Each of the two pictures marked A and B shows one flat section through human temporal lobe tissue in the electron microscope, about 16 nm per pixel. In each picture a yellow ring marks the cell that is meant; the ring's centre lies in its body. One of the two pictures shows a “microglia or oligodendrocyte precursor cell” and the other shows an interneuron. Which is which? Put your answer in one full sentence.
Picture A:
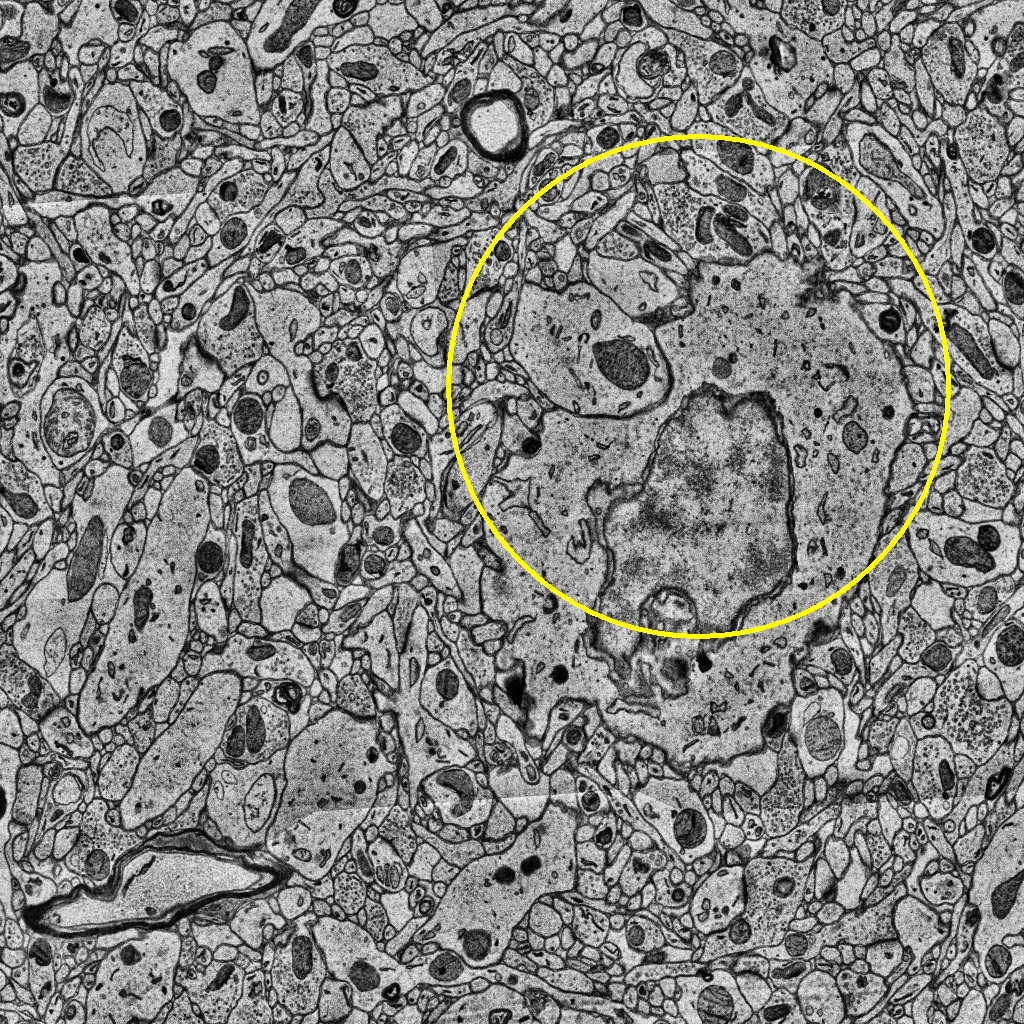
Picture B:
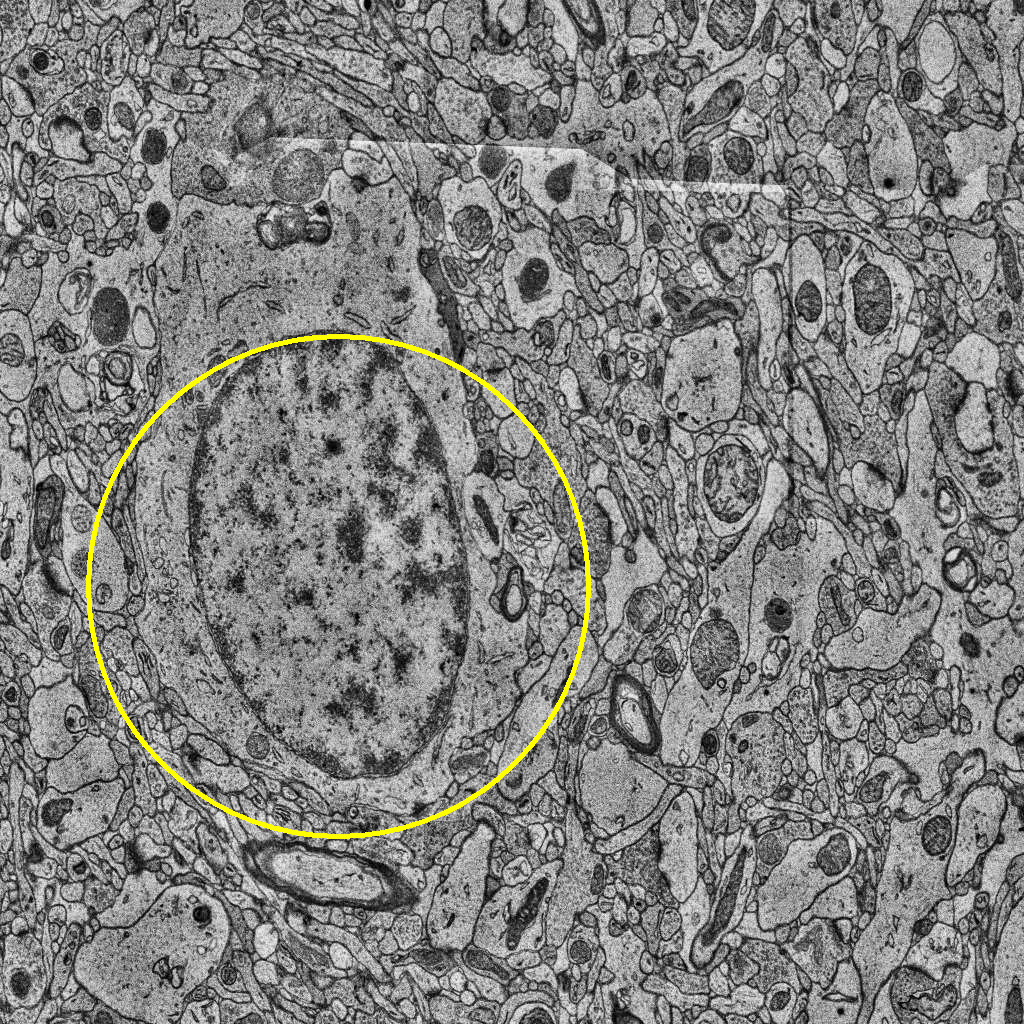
Picture A is of an interneuron, and picture B is of a “microglia or oligodendrocyte precursor cell”.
